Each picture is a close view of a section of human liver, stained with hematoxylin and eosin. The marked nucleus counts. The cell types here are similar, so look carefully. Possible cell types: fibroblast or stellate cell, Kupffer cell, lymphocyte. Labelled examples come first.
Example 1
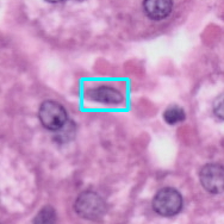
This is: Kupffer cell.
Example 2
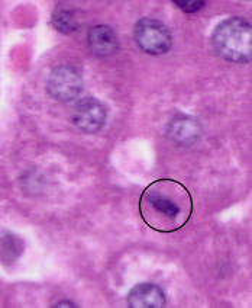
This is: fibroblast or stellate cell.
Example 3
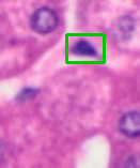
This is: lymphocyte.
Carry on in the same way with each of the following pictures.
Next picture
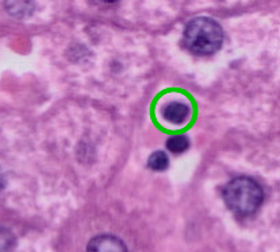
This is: lymphocyte.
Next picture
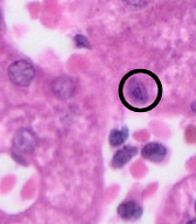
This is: fibroblast or stellate cell.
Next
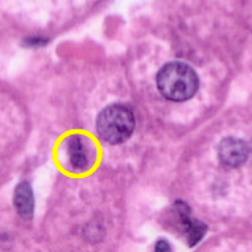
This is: fibroblast or stellate cell.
